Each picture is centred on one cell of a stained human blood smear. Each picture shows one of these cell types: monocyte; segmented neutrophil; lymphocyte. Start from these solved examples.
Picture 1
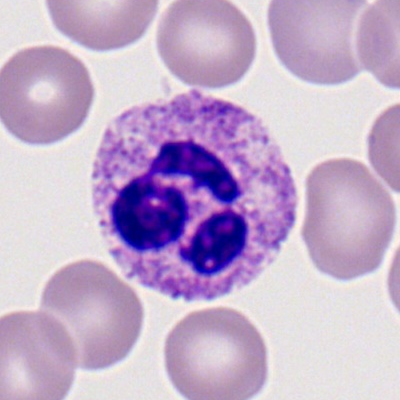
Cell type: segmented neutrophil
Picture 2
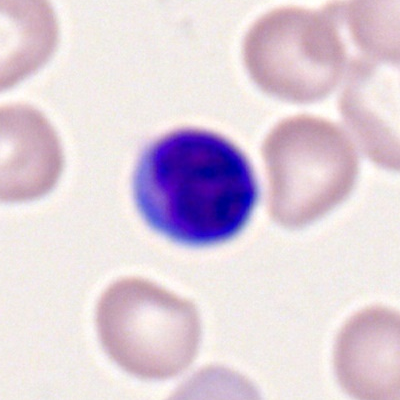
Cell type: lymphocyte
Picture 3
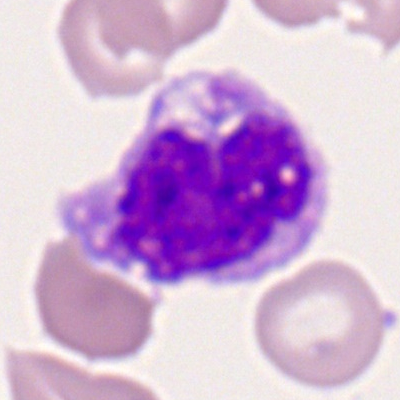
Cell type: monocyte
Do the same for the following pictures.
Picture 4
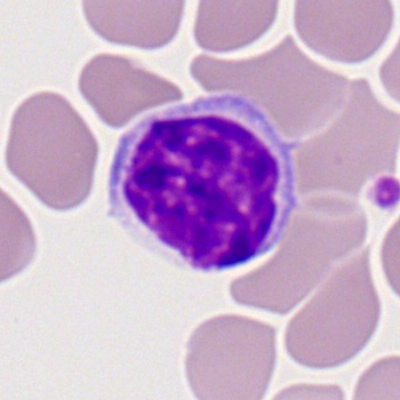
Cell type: lymphocyte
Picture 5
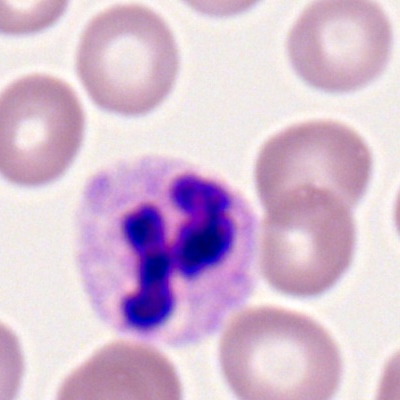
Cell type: segmented neutrophil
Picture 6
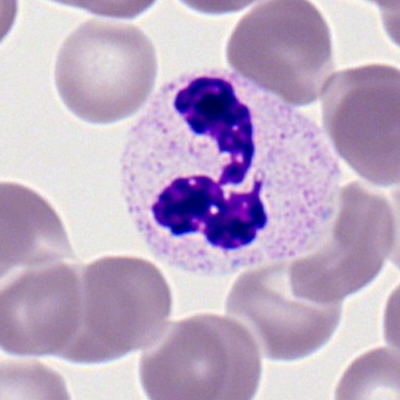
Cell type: segmented neutrophil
